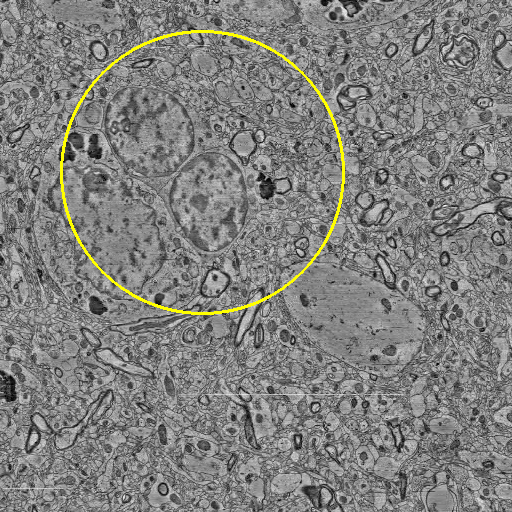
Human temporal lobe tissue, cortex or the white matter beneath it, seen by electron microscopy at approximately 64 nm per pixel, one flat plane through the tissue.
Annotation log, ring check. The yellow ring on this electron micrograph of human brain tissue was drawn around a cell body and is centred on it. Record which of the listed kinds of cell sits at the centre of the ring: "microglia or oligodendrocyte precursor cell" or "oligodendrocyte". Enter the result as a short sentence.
The cell at the centre of the ring is an oligodendrocyte.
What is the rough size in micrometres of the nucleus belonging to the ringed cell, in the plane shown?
The nucleus appears roughly 6 by 5 micrometres in this plane.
